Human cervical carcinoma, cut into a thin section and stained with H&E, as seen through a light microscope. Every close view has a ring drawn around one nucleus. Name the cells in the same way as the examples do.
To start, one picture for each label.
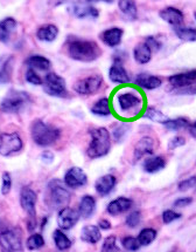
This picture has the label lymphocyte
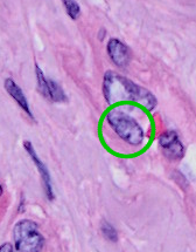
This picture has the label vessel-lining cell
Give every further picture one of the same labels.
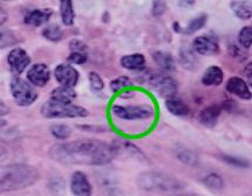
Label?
lymphocyte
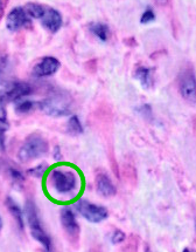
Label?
lymphocyte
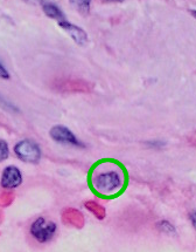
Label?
vessel-lining cell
